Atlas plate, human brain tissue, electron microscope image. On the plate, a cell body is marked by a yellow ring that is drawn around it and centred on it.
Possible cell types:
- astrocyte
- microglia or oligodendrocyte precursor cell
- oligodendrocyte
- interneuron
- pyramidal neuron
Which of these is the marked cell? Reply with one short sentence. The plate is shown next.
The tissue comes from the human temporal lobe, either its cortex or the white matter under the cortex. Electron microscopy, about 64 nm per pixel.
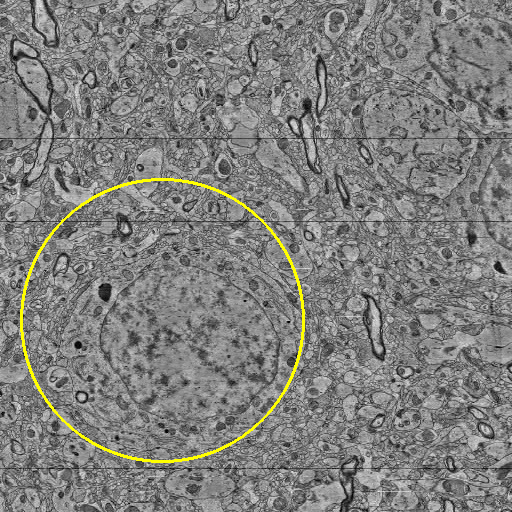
The marked cell is an interneuron.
